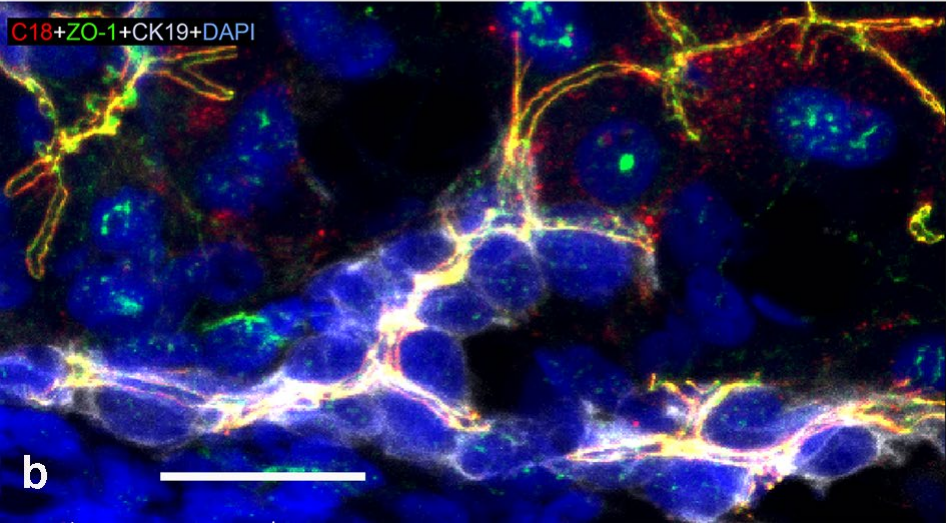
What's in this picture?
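This is liver with large hepatocytes in the upper half, whose borders carry paired red and green lines that overlap as yellow tram tracks along the bile canaliculi. The yellow and red paired lines run from between the hepatocytes down into this channel and continue along it. Scattered green dots lie in the nuclei and cytoplasm, and a faint red granular haze fills the hepatocyte cytoplasm.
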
